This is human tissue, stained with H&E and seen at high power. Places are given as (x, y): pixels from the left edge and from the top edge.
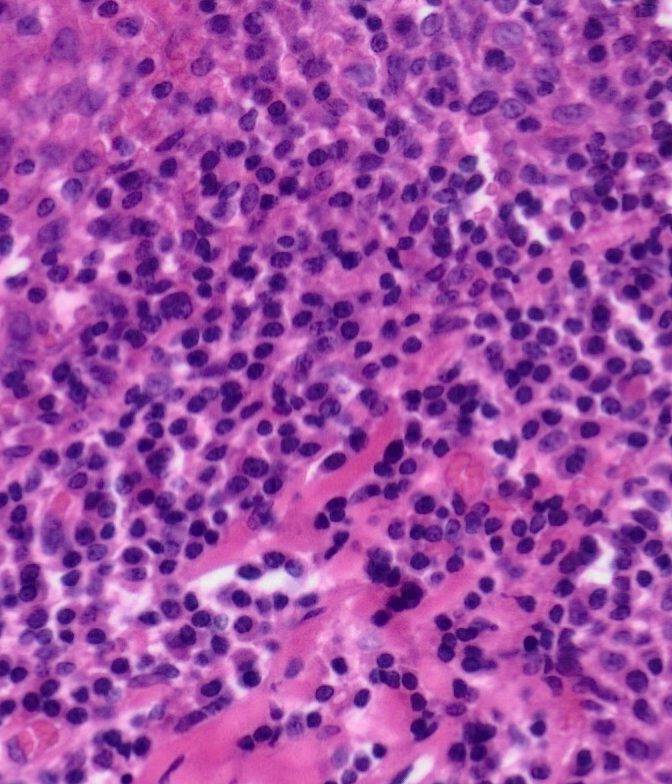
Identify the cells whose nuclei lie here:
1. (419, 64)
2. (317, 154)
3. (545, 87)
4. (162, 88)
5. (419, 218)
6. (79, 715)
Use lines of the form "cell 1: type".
cell 1: squamous epithelial cell
cell 2: plasma cell
cell 3: squamous epithelial cell
cell 4: squamous epithelial cell
cell 5: squamous epithelial cell
cell 6: plasma cell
